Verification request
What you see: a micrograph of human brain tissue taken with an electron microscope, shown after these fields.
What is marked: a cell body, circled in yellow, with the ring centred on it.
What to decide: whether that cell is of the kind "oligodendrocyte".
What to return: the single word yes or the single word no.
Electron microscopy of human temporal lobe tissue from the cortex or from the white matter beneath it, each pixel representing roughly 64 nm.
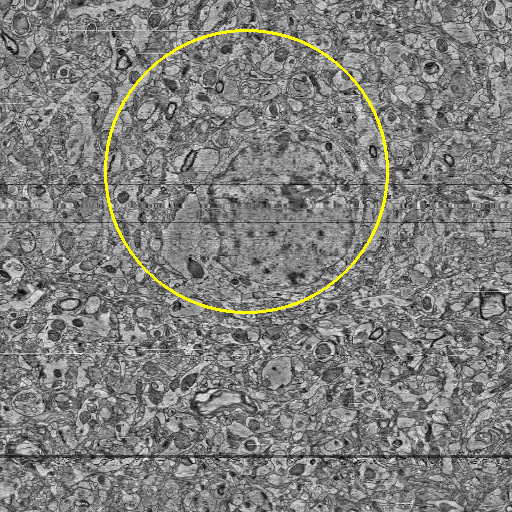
no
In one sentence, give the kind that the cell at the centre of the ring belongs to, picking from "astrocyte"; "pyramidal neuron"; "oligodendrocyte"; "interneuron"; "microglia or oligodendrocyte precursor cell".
In this picture, the ring is centred on an interneuron.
